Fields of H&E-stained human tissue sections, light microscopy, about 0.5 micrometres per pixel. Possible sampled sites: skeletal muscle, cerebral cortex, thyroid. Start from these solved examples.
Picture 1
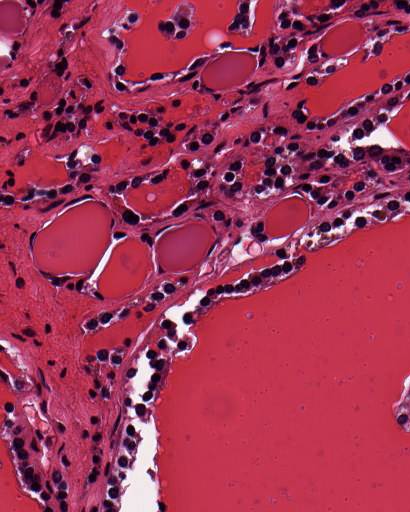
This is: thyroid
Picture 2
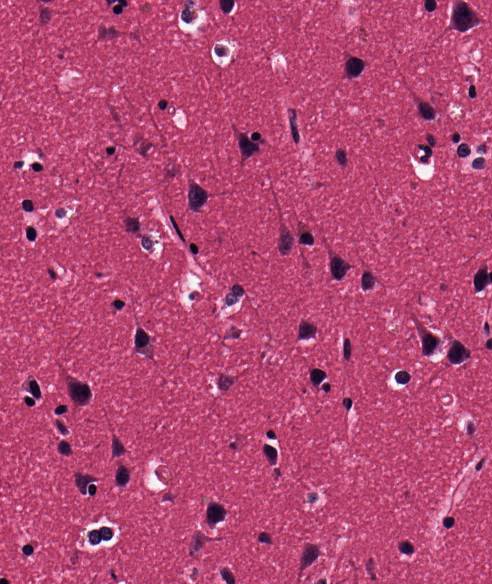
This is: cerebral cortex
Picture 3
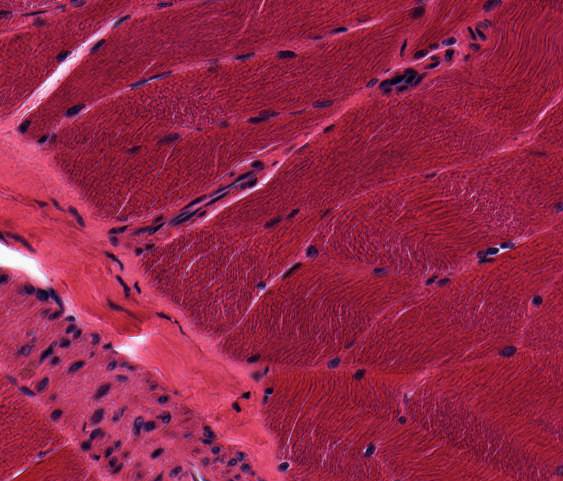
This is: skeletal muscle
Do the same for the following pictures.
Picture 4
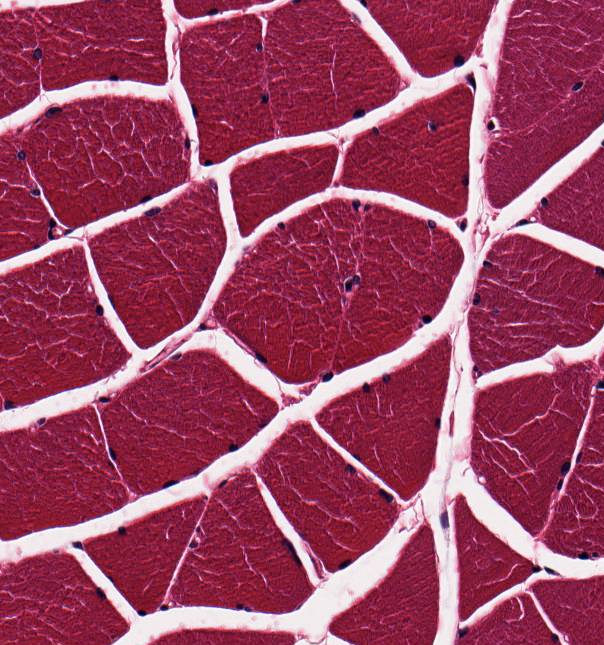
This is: skeletal muscle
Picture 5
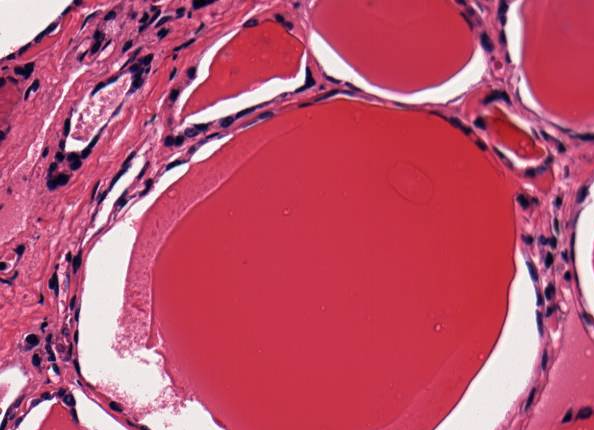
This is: thyroid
